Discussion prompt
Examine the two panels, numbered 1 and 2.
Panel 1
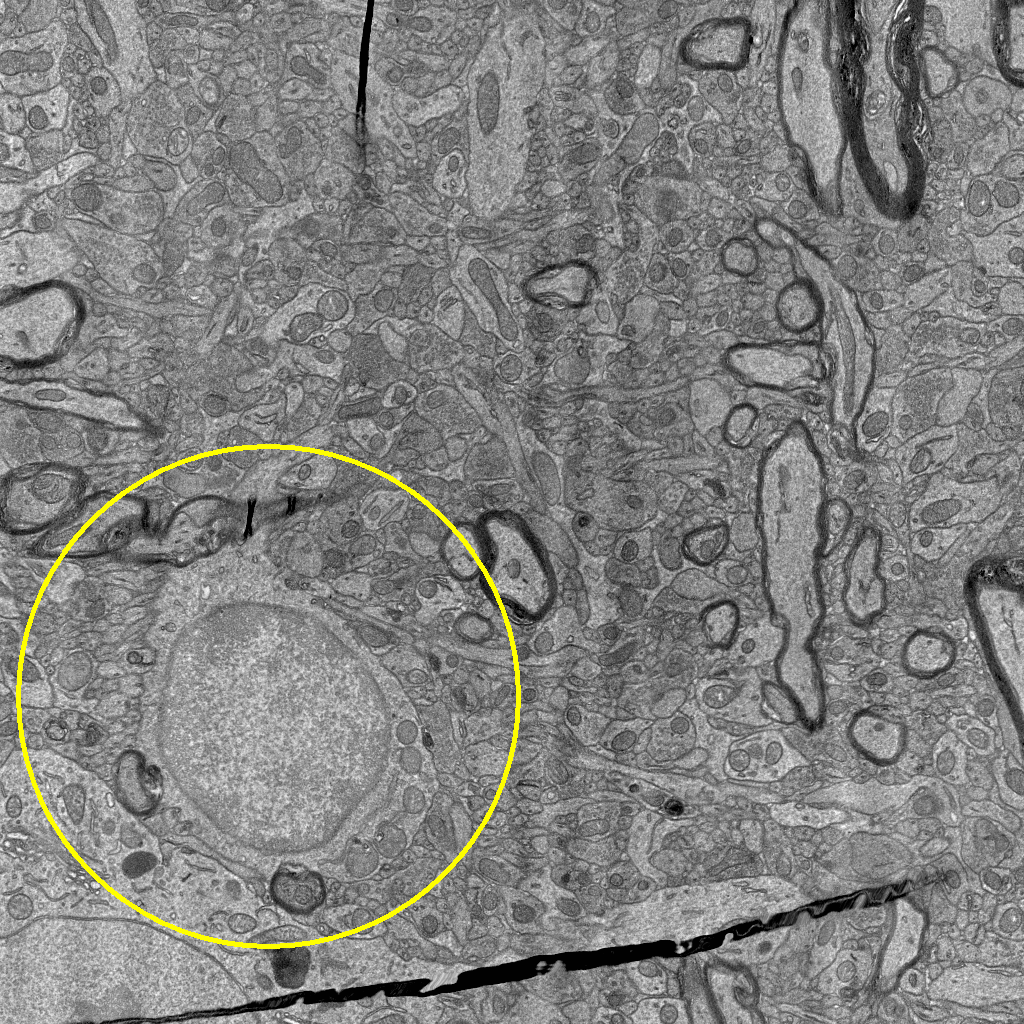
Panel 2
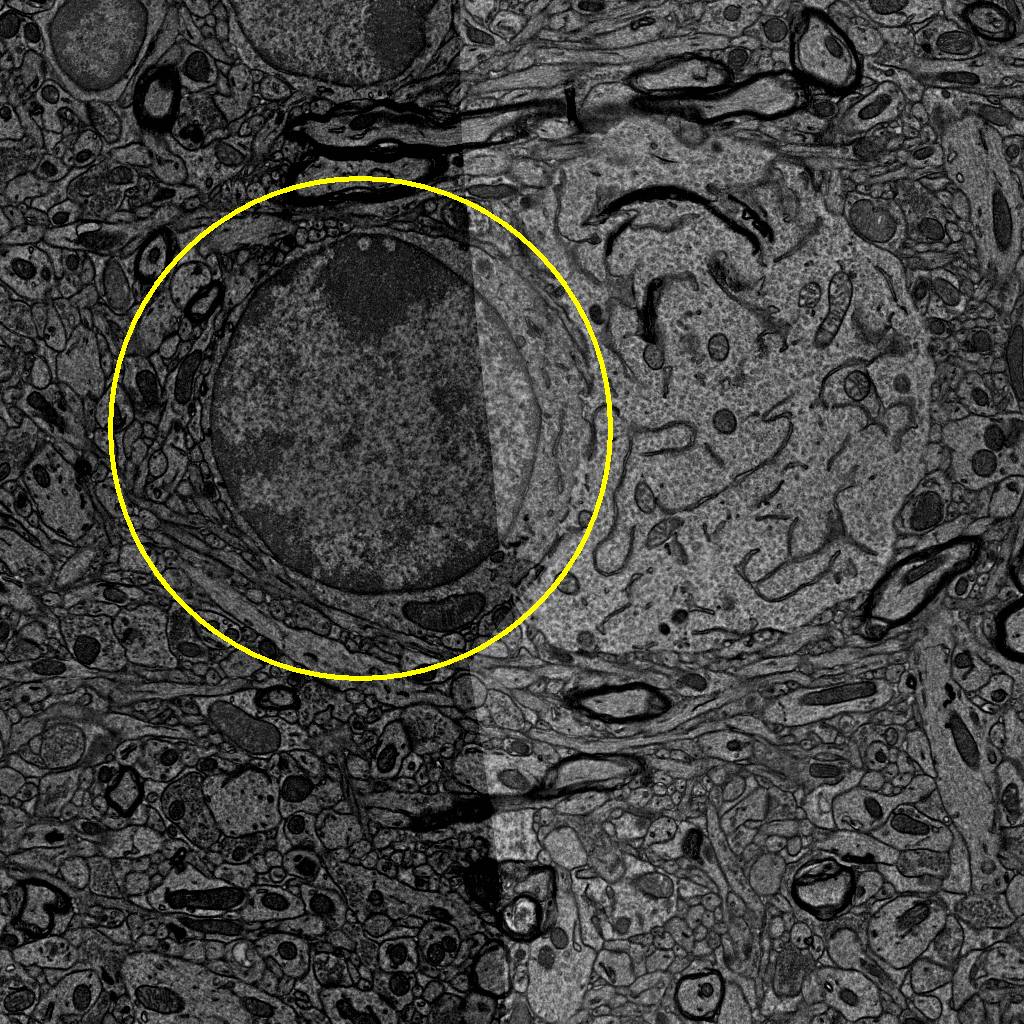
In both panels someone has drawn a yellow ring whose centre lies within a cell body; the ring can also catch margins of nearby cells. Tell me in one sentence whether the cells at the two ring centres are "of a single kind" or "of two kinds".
Taken together, the two cells at the ring centres of Panels 1 and 2 are of a single kind.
